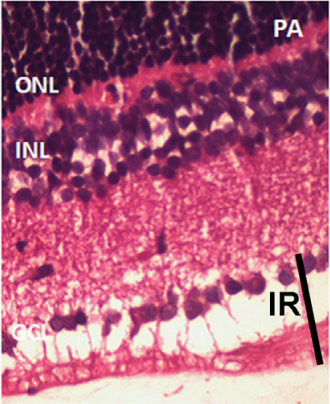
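A cross-section of retina shows the same sequence of layers: an upper band of densely packed dark round nuclei, a thin pink band, then a layer of oval purple nuclei that here appear more loosely arranged. A broad pink reticulated neuropil band follows. The innermost zone containing the ganglion cells is widened: scattered larger cells with dark nuclei sit among pale, empty-looking spaces, and a loose, vacuolated tissue with thin pink strands extends to the inner margin. This expanded, spongy innermost region looks unlike the compact arrangement of a normal inner retina.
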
